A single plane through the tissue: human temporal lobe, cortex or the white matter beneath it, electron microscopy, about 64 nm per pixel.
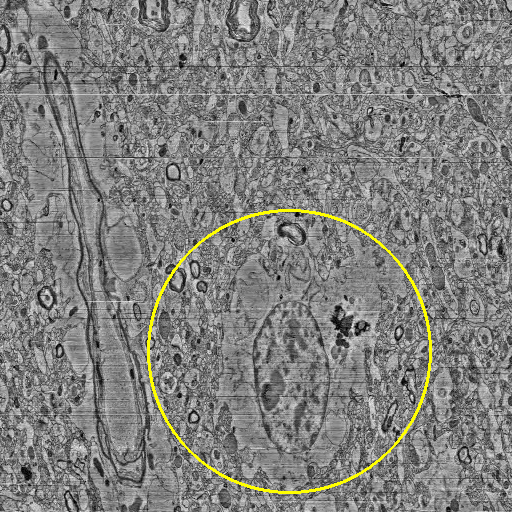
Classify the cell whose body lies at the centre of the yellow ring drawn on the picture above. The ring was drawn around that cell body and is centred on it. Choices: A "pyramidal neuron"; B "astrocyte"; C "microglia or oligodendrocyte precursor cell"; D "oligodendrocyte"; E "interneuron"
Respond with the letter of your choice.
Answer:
B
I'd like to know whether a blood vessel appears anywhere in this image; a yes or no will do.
Yes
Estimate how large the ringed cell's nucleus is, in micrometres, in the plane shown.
The nucleus measures about 10 by 5 micrometres, so it is clearly longer than it is wide in this plane.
